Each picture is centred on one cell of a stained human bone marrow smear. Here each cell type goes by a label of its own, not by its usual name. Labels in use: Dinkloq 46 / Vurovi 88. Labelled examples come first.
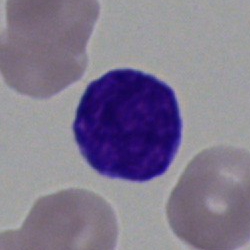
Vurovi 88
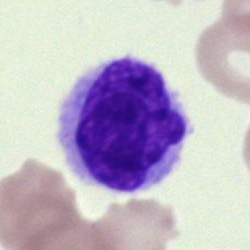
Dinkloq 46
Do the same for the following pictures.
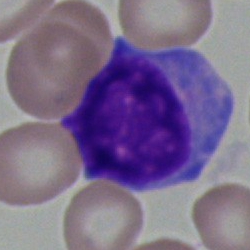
Vurovi 88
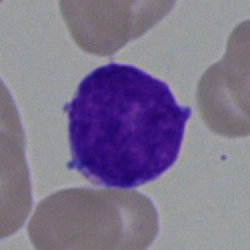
Vurovi 88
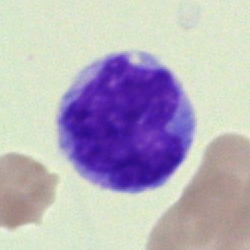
Dinkloq 46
